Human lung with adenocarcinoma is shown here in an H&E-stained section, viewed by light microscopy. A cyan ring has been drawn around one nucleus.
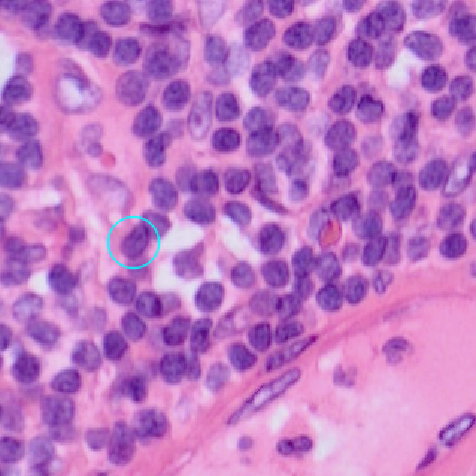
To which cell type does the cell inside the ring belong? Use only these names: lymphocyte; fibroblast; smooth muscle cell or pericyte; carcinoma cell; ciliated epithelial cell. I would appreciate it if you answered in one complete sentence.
The classification of the cell inside the ring is as a lymphocyte.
